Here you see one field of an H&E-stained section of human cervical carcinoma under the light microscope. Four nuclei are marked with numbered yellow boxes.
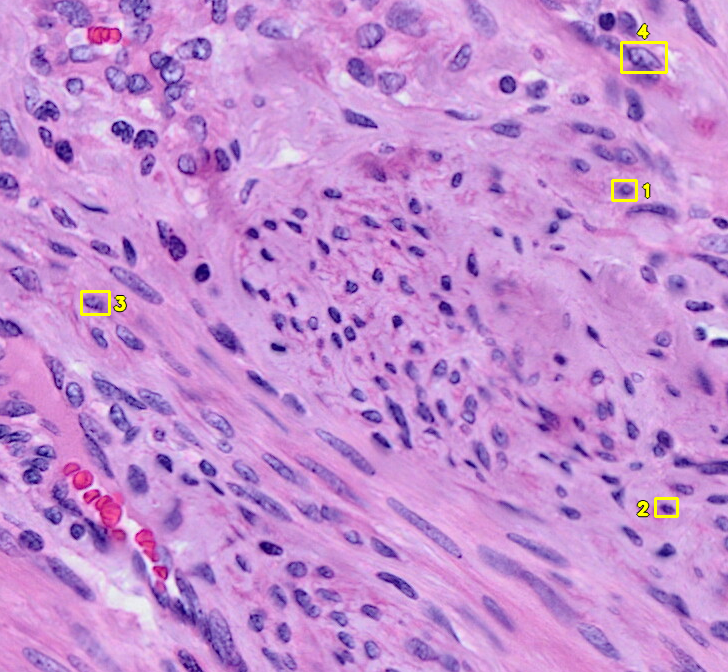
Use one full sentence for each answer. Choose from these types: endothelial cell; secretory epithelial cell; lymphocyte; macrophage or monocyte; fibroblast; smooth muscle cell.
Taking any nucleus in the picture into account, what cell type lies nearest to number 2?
The cell nearest to number 2 is a smooth muscle cell.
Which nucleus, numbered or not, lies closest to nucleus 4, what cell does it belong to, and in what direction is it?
An endothelial cell lies closest, below nucleus 4.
